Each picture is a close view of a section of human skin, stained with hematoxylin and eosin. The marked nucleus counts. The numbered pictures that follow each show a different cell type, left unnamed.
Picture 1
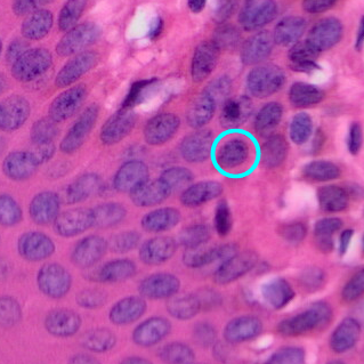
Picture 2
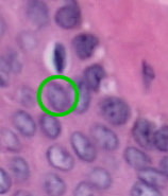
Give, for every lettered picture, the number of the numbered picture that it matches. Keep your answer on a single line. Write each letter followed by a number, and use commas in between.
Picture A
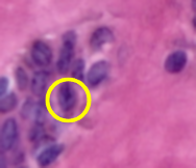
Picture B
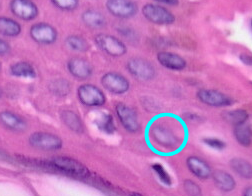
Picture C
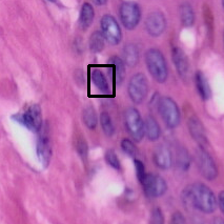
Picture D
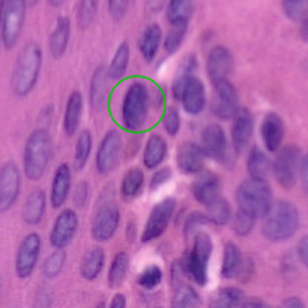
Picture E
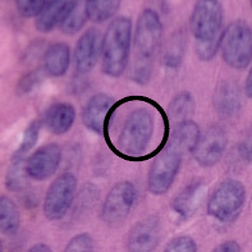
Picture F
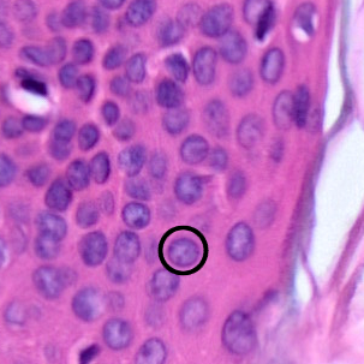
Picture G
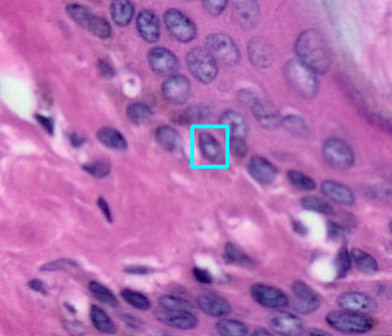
A 1, B 2, C 1, D 1, E 2, F 2, G 1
